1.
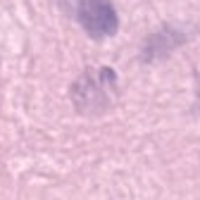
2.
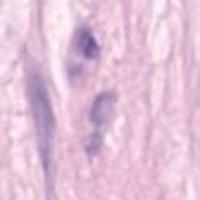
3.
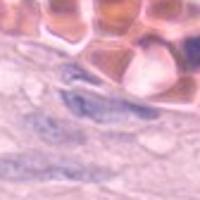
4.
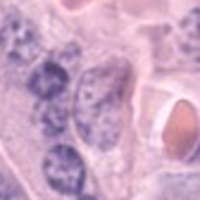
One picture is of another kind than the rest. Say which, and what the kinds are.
Picture 4 shows a cytotrophoblast; the rest show vascular myocytes.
